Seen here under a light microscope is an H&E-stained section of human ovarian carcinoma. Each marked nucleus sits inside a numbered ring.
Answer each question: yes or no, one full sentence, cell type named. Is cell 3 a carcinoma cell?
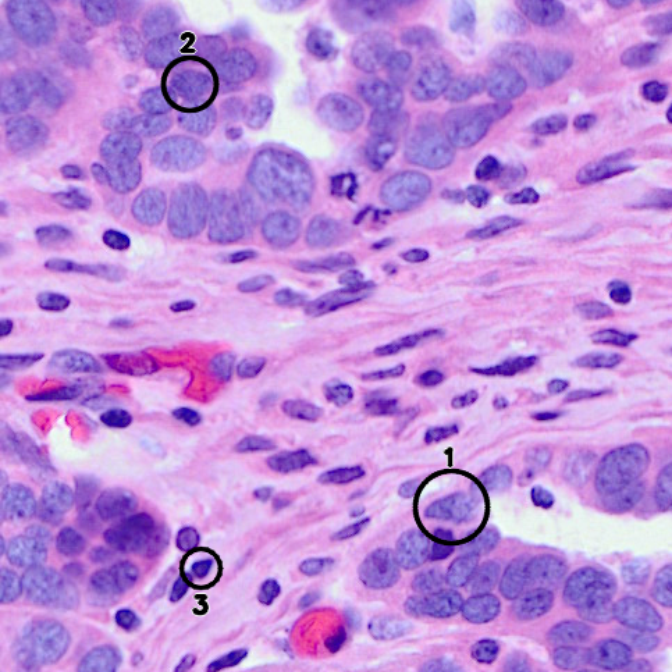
No, the cell under number 3 is a lymphocyte instead of a carcinoma cell.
